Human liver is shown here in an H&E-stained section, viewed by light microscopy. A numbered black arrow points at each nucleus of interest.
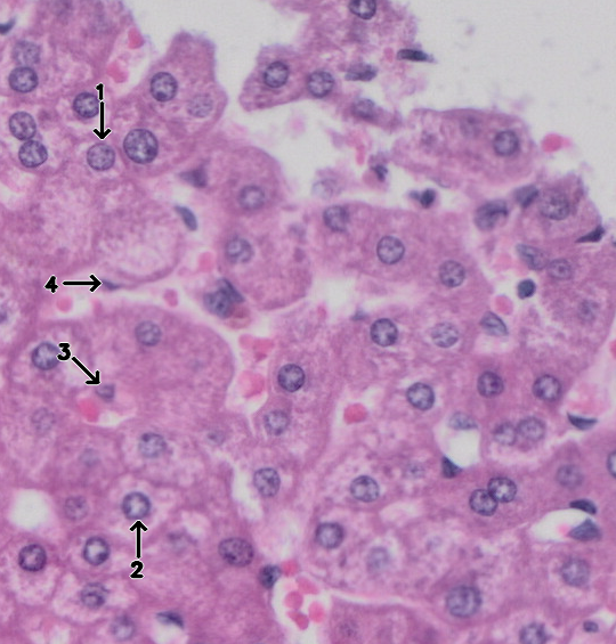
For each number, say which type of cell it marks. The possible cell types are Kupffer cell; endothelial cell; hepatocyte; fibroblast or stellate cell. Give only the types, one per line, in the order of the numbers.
hepatocyte
hepatocyte
Kupffer cell
Kupffer cell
